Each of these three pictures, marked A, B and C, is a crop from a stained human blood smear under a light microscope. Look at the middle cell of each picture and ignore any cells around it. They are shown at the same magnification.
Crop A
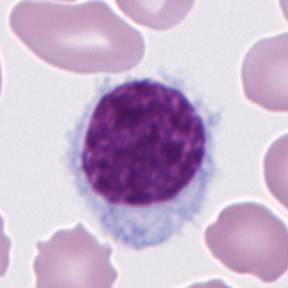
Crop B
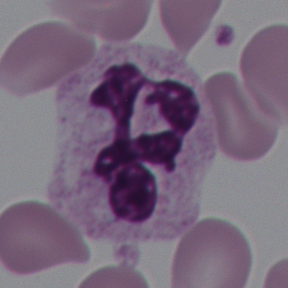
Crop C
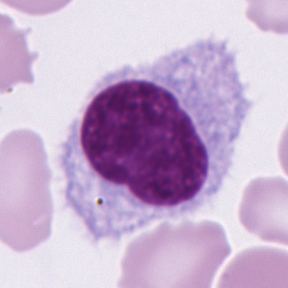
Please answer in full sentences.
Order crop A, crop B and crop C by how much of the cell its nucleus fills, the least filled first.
From the least filled to the most, the order is B, C, A.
